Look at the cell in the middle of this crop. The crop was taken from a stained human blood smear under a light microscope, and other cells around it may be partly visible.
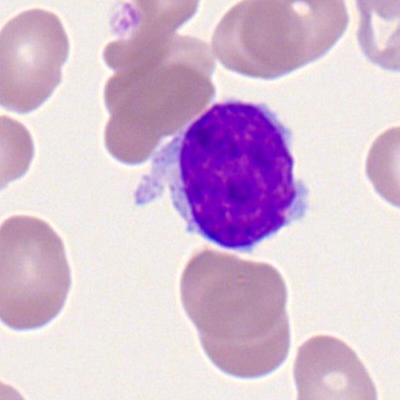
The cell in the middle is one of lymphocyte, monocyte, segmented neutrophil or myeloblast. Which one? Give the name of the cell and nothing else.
lymphocyte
